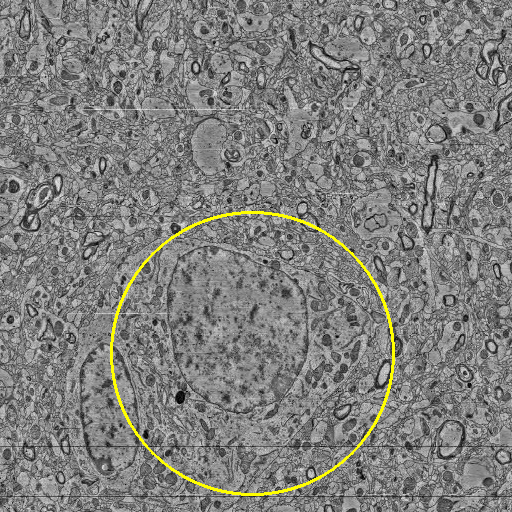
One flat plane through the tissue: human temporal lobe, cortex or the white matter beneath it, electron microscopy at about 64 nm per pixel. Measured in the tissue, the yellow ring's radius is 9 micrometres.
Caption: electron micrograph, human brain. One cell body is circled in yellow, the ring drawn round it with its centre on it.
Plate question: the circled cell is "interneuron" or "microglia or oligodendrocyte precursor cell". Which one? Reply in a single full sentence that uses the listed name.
The yellow ring on the plate is centred on an interneuron, going by the listed names.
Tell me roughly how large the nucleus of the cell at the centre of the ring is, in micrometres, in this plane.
About 11 micrometres by about 9 micrometres in this plane.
